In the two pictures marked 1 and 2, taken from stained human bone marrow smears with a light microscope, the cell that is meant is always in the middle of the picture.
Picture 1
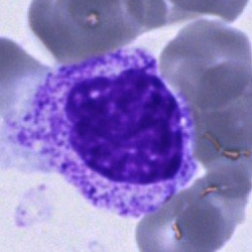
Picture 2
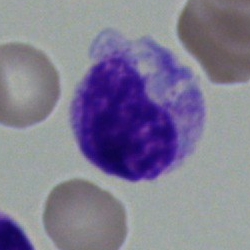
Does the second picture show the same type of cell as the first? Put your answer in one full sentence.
No; the cell in picture 1 is a myelocyte, while the one in picture 2 is a metamyelocyte.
